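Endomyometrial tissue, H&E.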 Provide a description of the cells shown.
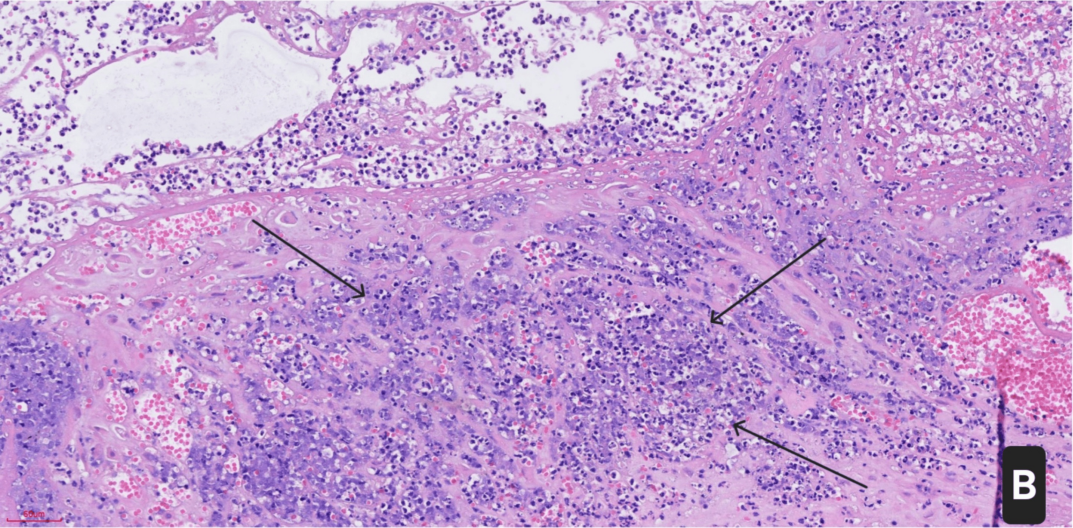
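This is inflamed uterine wall tissue in which dense sheets of inflammatory cells with small, dark purple, lobed or fragmented nuclei crowd between the pink fibrous stroma. Patches of bright red blood cells lie scattered among them, showing bleeding into the tissue. Along the top a band of loose, disrupted material with scattered dark nuclei and pale empty spaces marks destroyed tissue. A strip of pink collagen-rich stroma separates this loose debris from the densely infiltrated area below.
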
